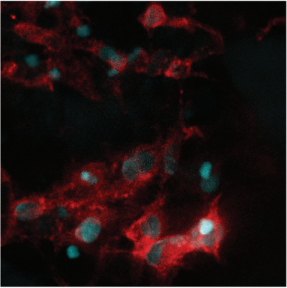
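Cultured cells are seen at high magnification, with oval to round nuclei stained cyan scattered across the field. A red signal traces the borders of the cells and their slender, branching cytoplasmic processes, forming an irregular network between neighbouring cells. The red signal is strongest along the cell edges and where processes of adjacent cells meet, while the nuclei themselves are largely free of it. Some cells lie in small clusters and others are spread out with long extensions.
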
